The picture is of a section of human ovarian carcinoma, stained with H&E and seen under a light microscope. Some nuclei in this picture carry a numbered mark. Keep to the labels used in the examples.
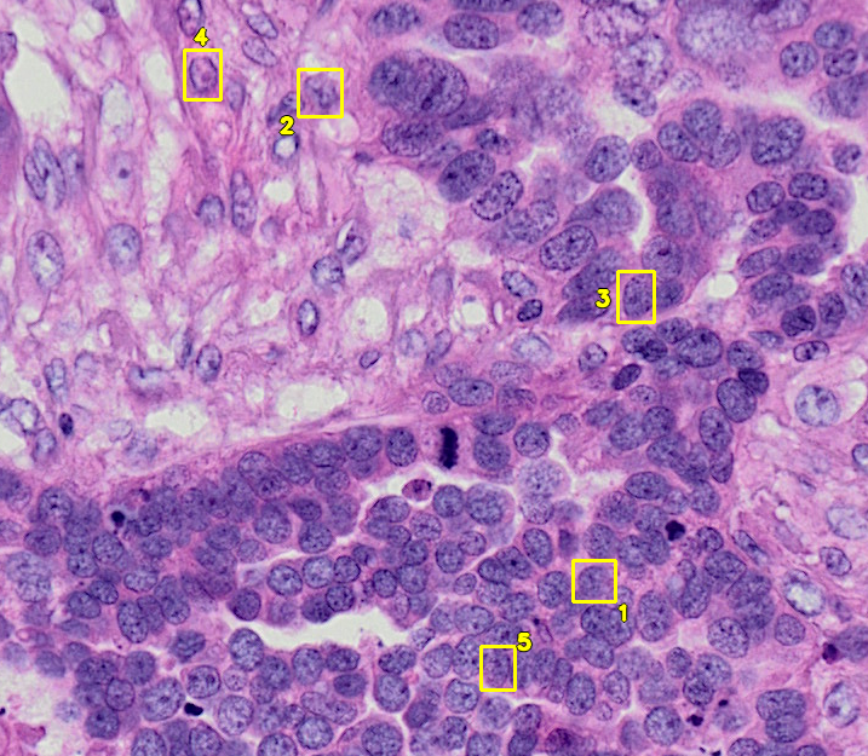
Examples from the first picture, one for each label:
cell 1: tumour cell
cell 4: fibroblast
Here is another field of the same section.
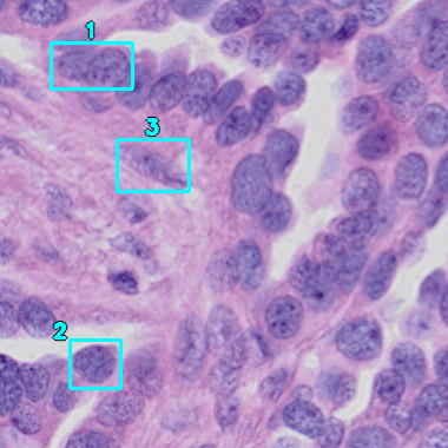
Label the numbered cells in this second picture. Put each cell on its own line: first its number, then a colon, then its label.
1: tumour cell
2: tumour cell
3: fibroblast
